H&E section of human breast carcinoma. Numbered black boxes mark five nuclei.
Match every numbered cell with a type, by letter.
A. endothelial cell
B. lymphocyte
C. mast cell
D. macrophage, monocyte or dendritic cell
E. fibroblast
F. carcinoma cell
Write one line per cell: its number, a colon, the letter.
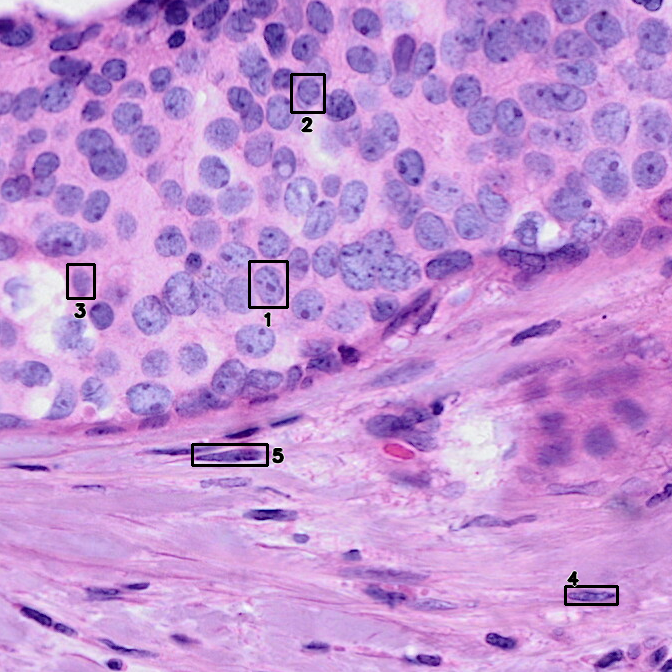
1: F
2: F
3: F
4: E
5: E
